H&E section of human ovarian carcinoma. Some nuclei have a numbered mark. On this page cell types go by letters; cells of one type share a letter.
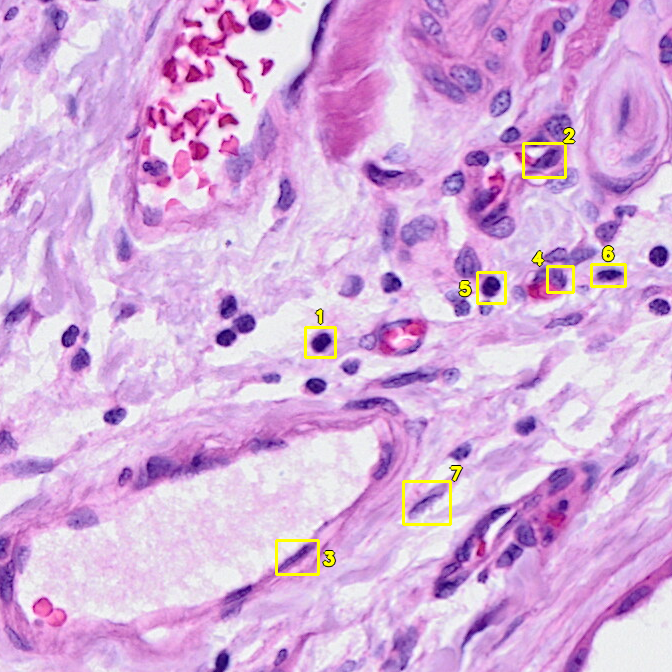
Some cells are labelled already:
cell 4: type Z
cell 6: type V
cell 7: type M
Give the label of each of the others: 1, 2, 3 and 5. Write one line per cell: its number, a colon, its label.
1: type V
2: type Z
3: type Z
5: type V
